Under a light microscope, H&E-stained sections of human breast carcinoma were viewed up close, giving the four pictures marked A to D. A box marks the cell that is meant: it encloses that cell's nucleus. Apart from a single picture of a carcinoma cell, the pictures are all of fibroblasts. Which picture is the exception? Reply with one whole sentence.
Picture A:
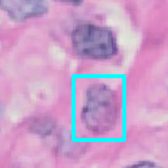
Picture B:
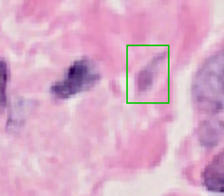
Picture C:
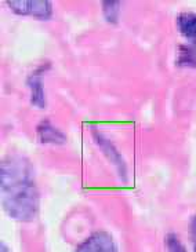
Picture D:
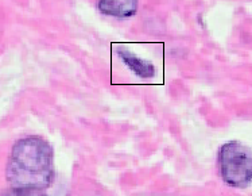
Picture A is the one that shows the carcinoma cell.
